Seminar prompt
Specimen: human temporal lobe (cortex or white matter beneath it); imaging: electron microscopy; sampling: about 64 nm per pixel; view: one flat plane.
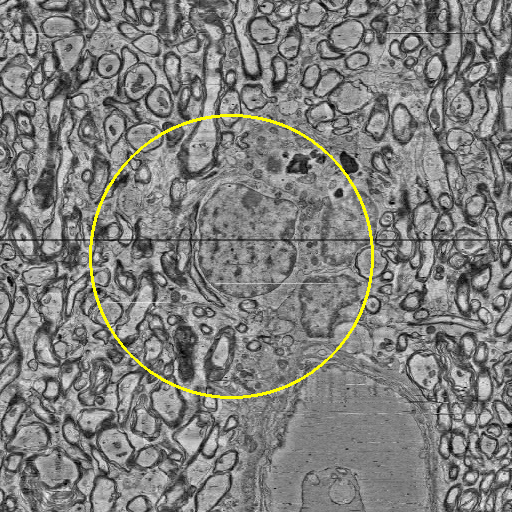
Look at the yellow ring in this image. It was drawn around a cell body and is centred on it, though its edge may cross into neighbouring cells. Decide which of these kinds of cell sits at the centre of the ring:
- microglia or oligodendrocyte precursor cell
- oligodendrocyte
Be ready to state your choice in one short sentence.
The kind of cell at the ring's centre is a microglial cell or oligodendrocyte precursor cell.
